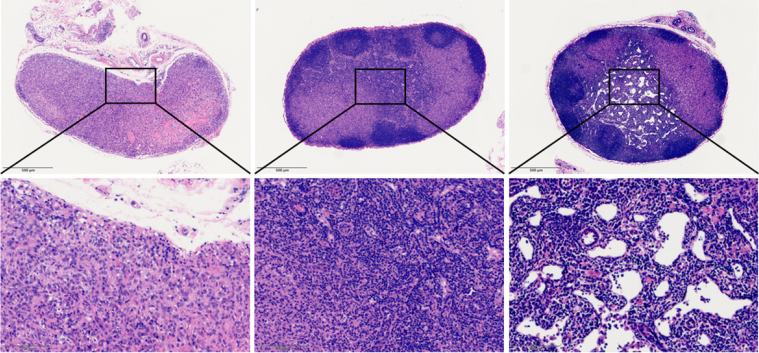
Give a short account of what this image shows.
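These are lymph nodes stained pink and purple, shown in three low-power cross-sections, each with a boxed central area enlarged in the row beneath. In the middle and right nodes, dark purple rounded nodules lie near the rim around a paler centre. The left node is more evenly pink, and its enlargement shows a sheet of larger cells with more pink cytoplasm lying under the capsule. The middle enlargement is crowded with small, round, dark nuclei, while the right one is broken up by many irregular empty spaces between the cells.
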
